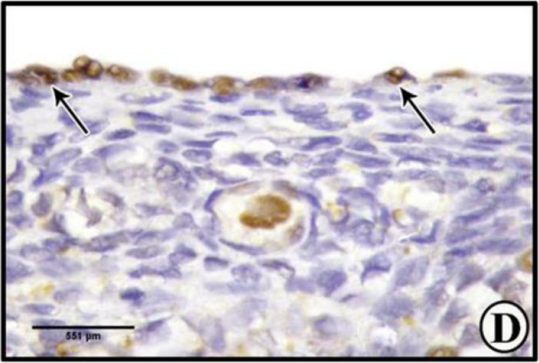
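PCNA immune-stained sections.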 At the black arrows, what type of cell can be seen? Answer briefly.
Surface epithelial cells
